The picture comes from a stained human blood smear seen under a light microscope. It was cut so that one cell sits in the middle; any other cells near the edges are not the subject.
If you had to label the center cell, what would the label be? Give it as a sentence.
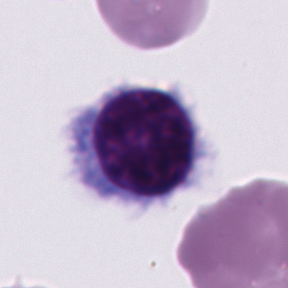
The cell under consideration, at the middle of the crop, is a hairy cell.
